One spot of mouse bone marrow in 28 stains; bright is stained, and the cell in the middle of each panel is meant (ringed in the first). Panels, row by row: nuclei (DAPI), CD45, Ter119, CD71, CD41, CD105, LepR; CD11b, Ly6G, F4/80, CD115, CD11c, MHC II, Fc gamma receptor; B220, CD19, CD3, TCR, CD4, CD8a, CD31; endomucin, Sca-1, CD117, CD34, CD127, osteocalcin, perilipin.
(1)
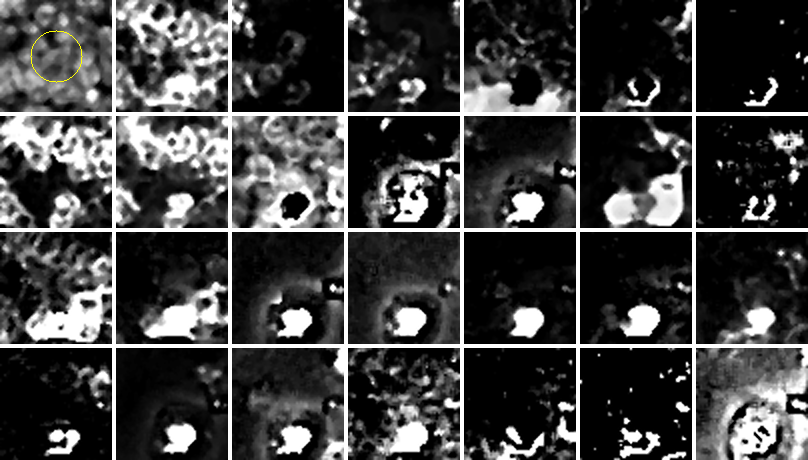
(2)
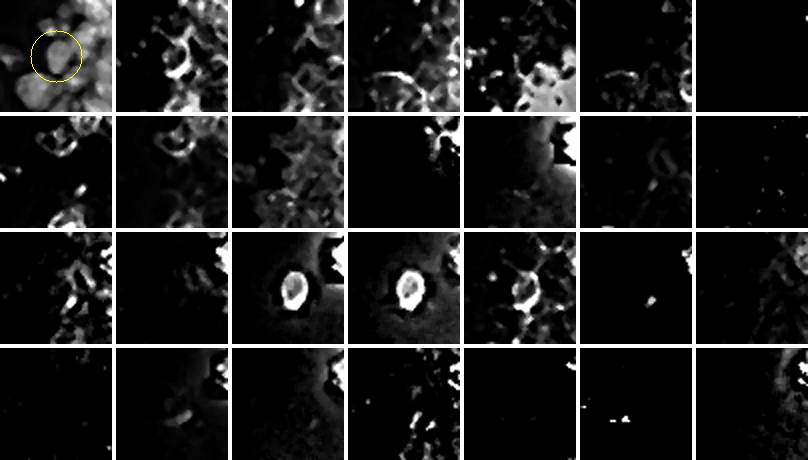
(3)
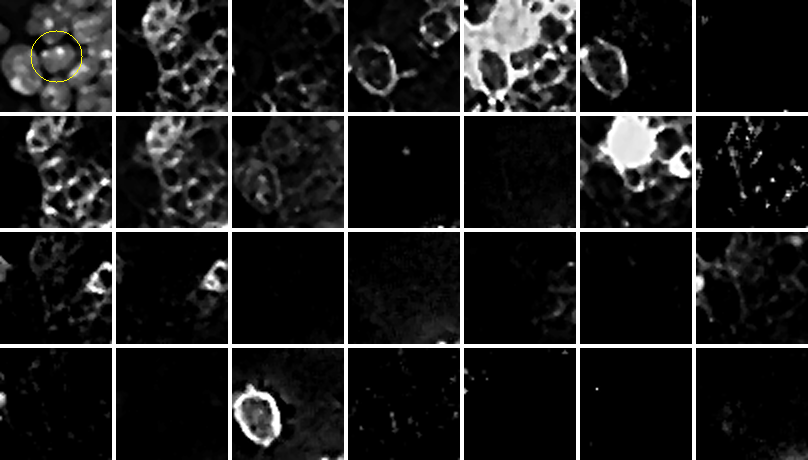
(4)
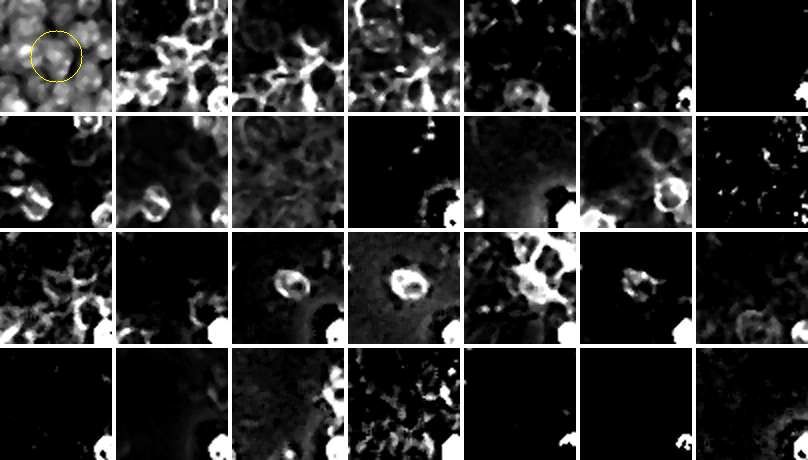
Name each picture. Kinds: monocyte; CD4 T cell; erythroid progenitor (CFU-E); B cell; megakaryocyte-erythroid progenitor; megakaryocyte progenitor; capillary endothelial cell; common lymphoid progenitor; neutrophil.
1: erythroid progenitor (CFU-E)
2: CD4 T cell
3: neutrophil
4: CD4 T cell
